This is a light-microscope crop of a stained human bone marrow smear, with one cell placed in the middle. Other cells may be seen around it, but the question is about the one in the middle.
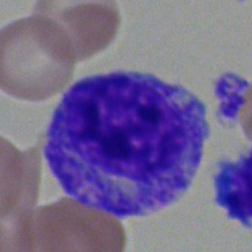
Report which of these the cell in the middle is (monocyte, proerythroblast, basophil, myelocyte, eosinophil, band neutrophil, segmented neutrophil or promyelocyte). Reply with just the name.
myelocyte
